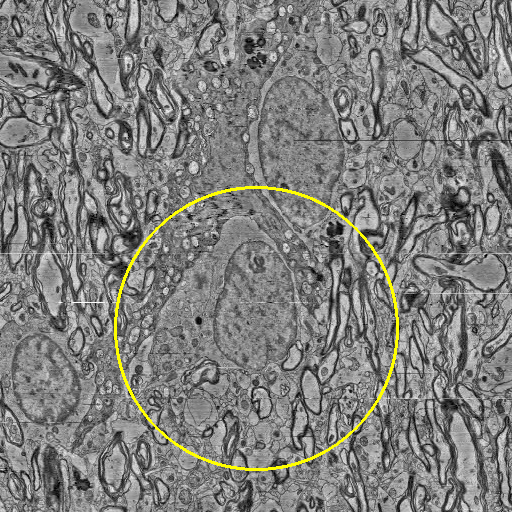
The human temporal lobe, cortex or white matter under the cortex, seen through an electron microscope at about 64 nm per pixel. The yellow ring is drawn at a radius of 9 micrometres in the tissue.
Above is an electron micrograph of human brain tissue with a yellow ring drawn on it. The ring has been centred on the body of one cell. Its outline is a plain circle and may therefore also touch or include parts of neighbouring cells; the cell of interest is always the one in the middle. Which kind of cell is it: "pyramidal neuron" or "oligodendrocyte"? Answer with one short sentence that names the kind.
The ring's central cell body is that of an oligodendrocyte.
